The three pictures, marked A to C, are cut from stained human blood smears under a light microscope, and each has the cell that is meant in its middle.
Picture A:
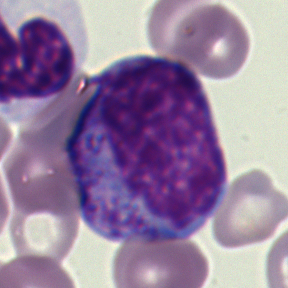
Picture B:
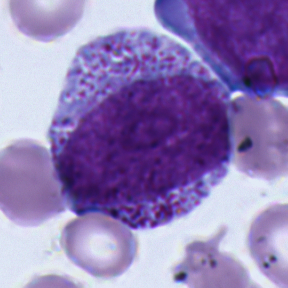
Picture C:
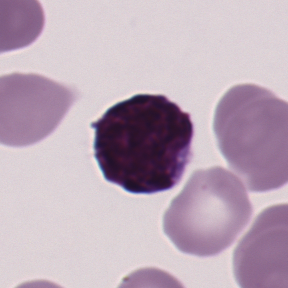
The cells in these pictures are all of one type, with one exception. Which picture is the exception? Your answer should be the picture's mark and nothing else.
C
